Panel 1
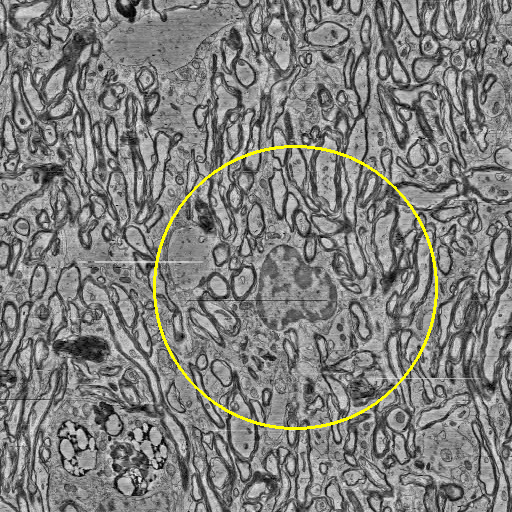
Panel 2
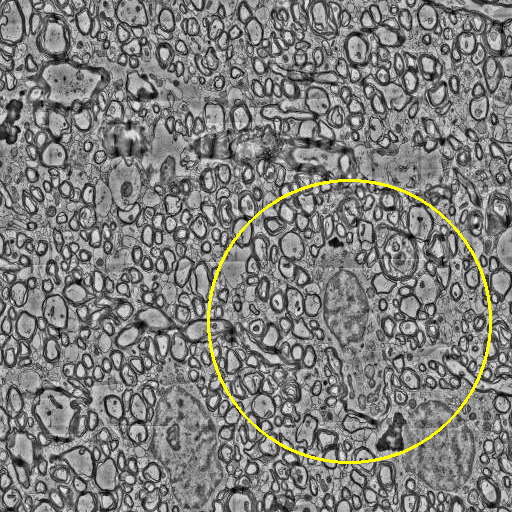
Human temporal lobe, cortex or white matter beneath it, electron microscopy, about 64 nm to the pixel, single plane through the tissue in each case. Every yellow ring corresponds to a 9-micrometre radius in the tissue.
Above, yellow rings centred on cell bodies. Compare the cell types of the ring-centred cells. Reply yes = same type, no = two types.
no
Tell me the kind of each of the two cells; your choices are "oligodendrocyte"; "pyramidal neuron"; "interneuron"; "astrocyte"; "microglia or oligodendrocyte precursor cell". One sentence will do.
The ringed cell is a microglial cell or oligodendrocyte precursor cell in the first picture and an oligodendrocyte in the second picture.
